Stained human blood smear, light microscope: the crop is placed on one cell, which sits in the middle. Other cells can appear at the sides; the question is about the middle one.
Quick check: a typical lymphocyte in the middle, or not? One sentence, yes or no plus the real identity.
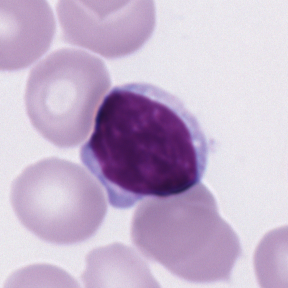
Yes, a typical lymphocyte is present in the middle of the crop.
